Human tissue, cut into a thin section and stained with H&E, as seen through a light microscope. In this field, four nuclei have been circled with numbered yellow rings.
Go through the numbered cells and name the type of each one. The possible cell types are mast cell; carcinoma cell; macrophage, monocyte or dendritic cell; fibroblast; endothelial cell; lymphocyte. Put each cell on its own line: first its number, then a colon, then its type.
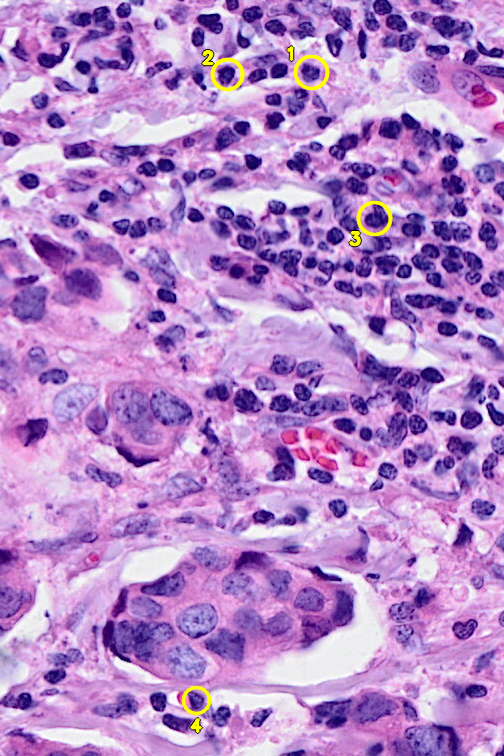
1: lymphocyte
2: lymphocyte
3: lymphocyte
4: endothelial cell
